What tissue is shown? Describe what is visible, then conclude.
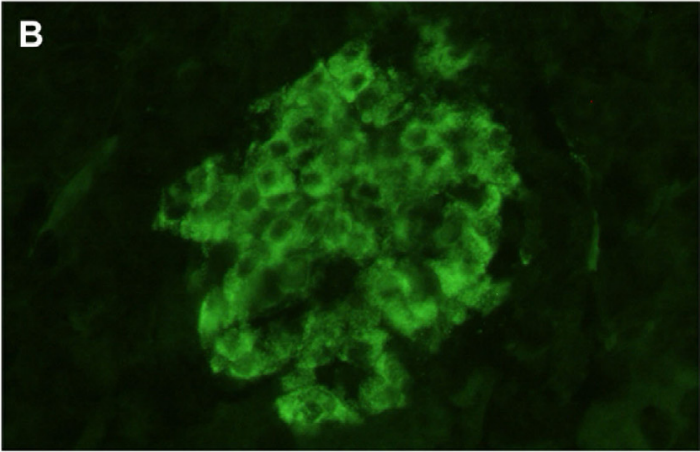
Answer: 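A large rounded cluster of densely packed green cells. Dark round nuclei are outlined by green cytoplasm. That points to this answer: pancreatic islets.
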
